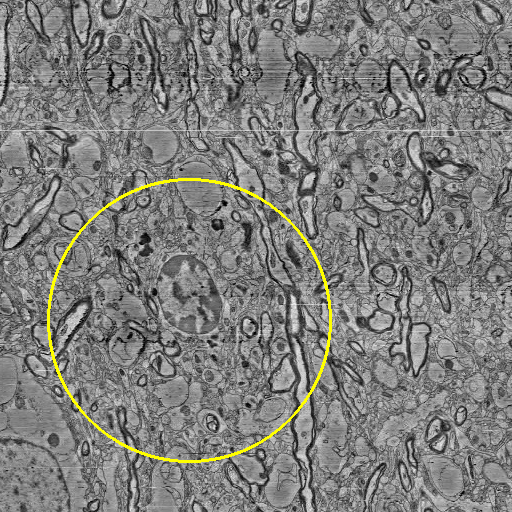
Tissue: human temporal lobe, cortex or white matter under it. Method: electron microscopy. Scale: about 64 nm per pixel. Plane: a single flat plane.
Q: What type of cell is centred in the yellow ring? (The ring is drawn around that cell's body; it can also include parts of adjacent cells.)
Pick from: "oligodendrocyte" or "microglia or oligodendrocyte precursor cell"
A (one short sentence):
The yellow ring is centred on a microglial cell or oligodendrocyte precursor cell.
